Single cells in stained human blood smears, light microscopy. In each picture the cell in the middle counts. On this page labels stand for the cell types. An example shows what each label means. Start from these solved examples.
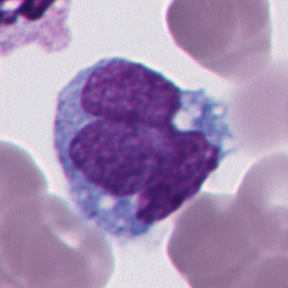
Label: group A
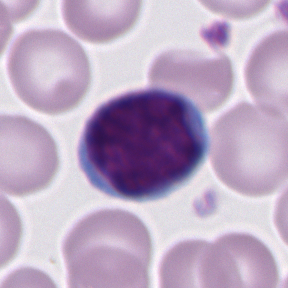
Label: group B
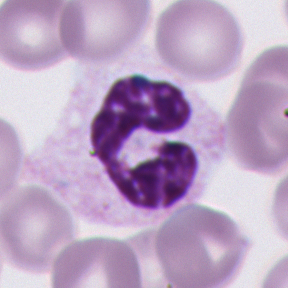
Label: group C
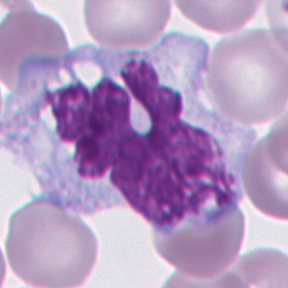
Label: group A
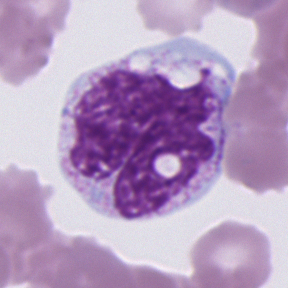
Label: group A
